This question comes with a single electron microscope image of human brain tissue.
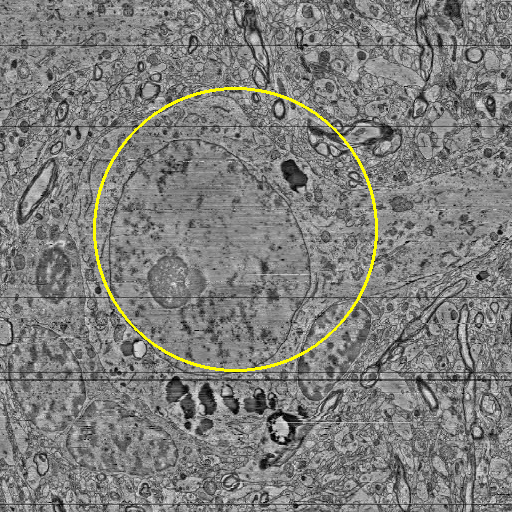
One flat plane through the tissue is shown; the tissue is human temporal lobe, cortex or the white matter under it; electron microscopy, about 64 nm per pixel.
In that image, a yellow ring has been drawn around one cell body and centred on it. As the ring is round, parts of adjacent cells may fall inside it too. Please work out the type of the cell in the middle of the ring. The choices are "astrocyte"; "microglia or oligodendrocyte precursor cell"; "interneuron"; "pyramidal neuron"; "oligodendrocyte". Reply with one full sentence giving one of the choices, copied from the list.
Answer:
Of the choices, a pyramidal neuron is the cell sitting in the middle of the ring.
